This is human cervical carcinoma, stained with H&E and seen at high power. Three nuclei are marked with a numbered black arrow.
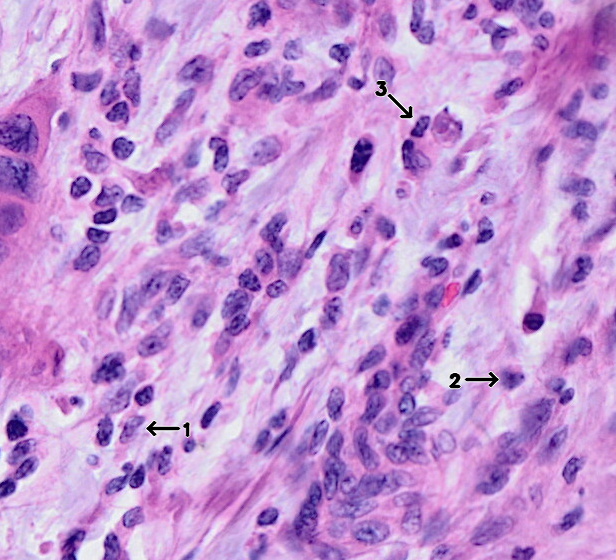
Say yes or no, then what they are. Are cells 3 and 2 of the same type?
Yes, each of the two cells, 3 and 2, is among the lymphocytes.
